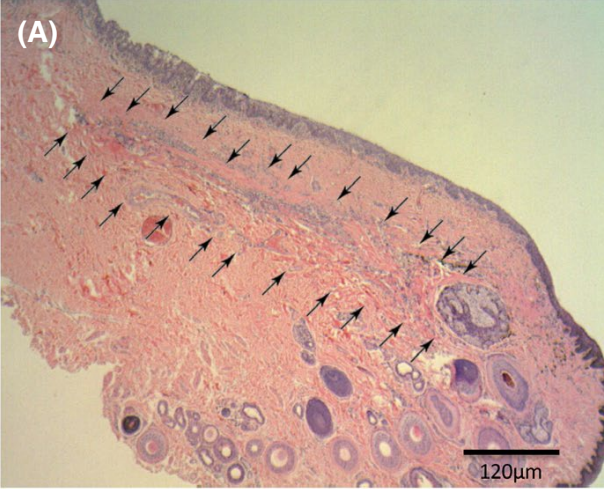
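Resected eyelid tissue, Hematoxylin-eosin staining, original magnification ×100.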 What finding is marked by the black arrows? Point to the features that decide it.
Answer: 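The arrowed region beneath the surface epithelium is filled with pink fibrous stroma. No glandular lobules or ducts lie within the arrowed region. That points to this answer: absence of normal gland lobular and ductal structure.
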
